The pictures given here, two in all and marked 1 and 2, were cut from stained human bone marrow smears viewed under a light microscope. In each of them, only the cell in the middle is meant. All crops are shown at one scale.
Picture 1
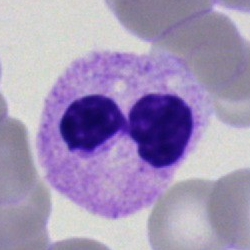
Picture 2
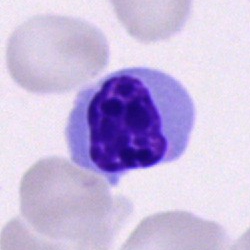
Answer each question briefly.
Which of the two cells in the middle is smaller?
2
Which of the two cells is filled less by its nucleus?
1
